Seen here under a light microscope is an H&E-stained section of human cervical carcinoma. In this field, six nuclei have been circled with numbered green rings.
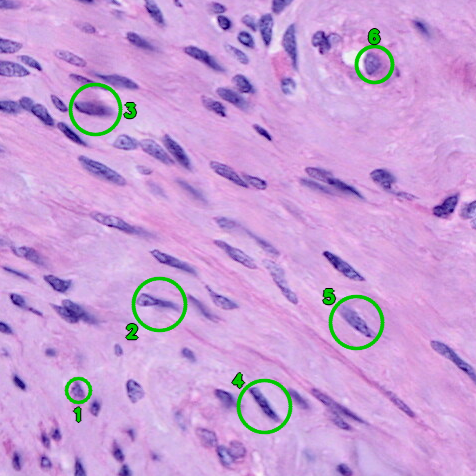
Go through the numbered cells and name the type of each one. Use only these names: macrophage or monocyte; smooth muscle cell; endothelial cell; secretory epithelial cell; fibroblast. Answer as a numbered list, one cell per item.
1. smooth muscle cell
2. fibroblast
3. fibroblast
4. fibroblast
5. fibroblast
6. endothelial cell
